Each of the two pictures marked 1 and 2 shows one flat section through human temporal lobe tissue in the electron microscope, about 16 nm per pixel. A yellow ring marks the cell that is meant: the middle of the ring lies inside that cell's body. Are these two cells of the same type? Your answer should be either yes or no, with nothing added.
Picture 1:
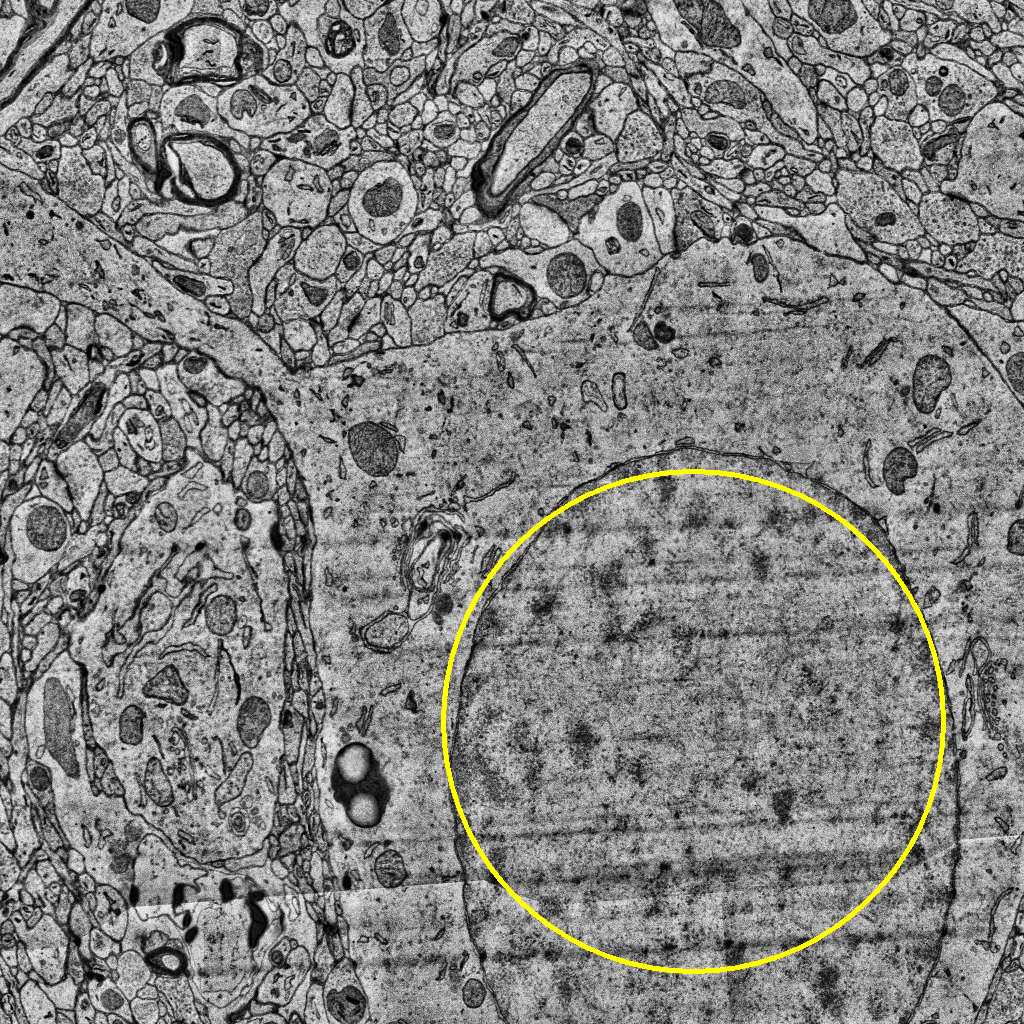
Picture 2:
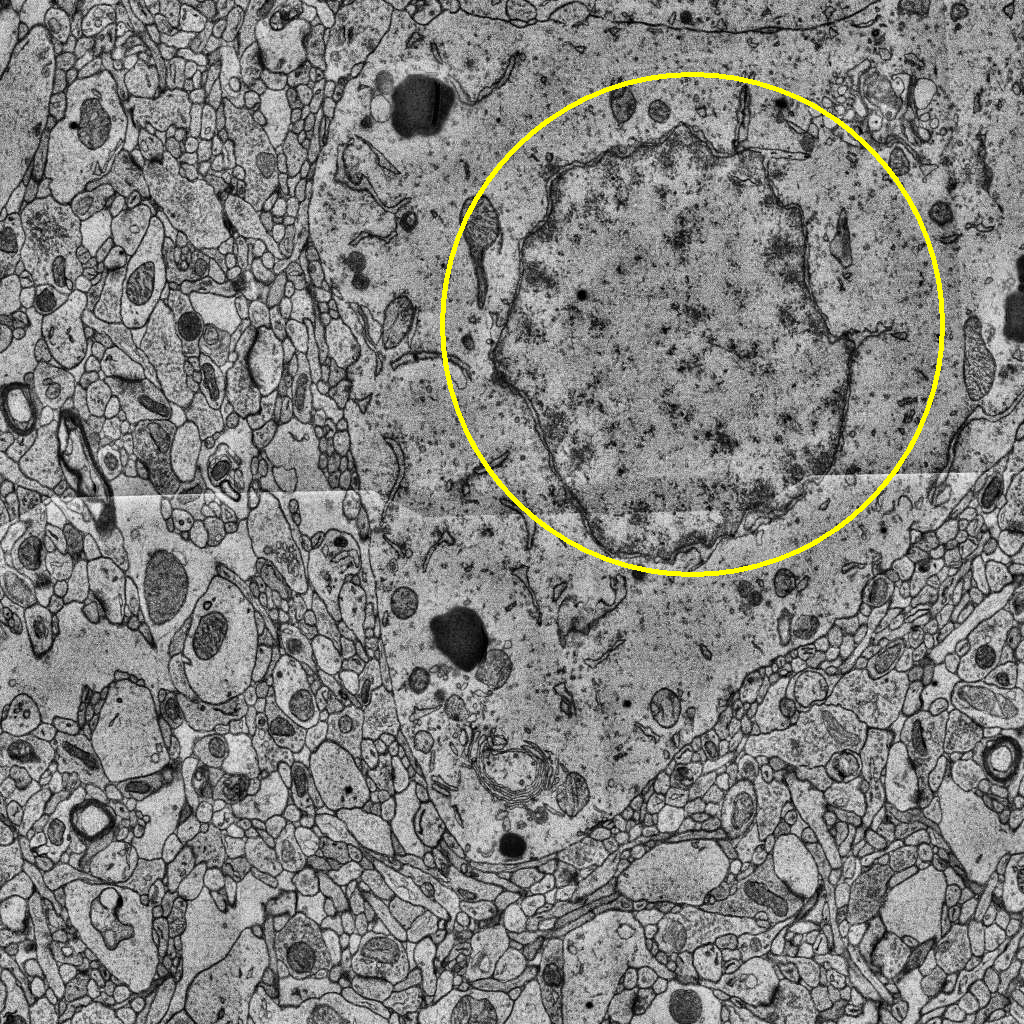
yes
